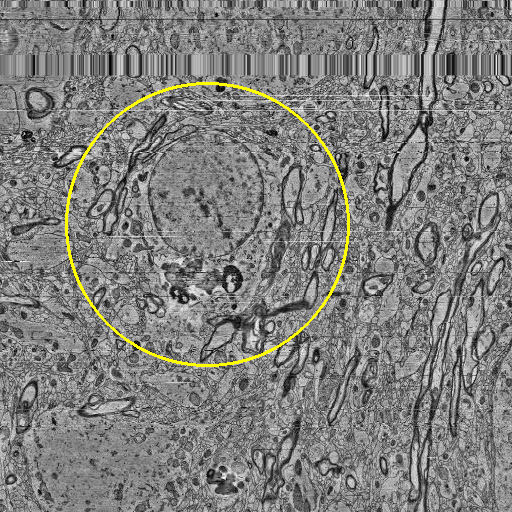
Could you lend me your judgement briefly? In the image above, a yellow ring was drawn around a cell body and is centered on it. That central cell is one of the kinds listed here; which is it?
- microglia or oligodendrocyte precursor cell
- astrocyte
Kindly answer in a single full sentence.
Going by the list, an astrocyte is the kind at the ring's center in the picture.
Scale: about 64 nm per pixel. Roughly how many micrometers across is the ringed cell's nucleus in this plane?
The ringed cell's nucleus is about 9 micrometres long and 7 micrometres wide in this plane.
